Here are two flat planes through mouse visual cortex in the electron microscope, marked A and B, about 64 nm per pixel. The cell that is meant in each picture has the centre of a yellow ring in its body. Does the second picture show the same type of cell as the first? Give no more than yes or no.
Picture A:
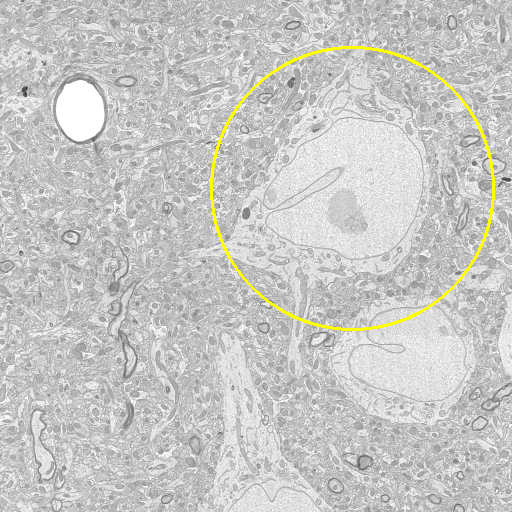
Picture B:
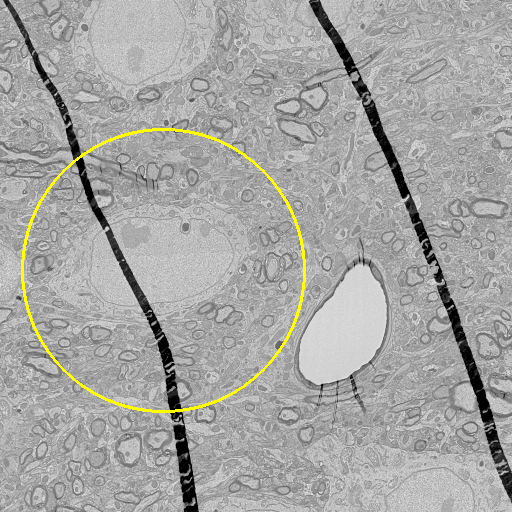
yes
